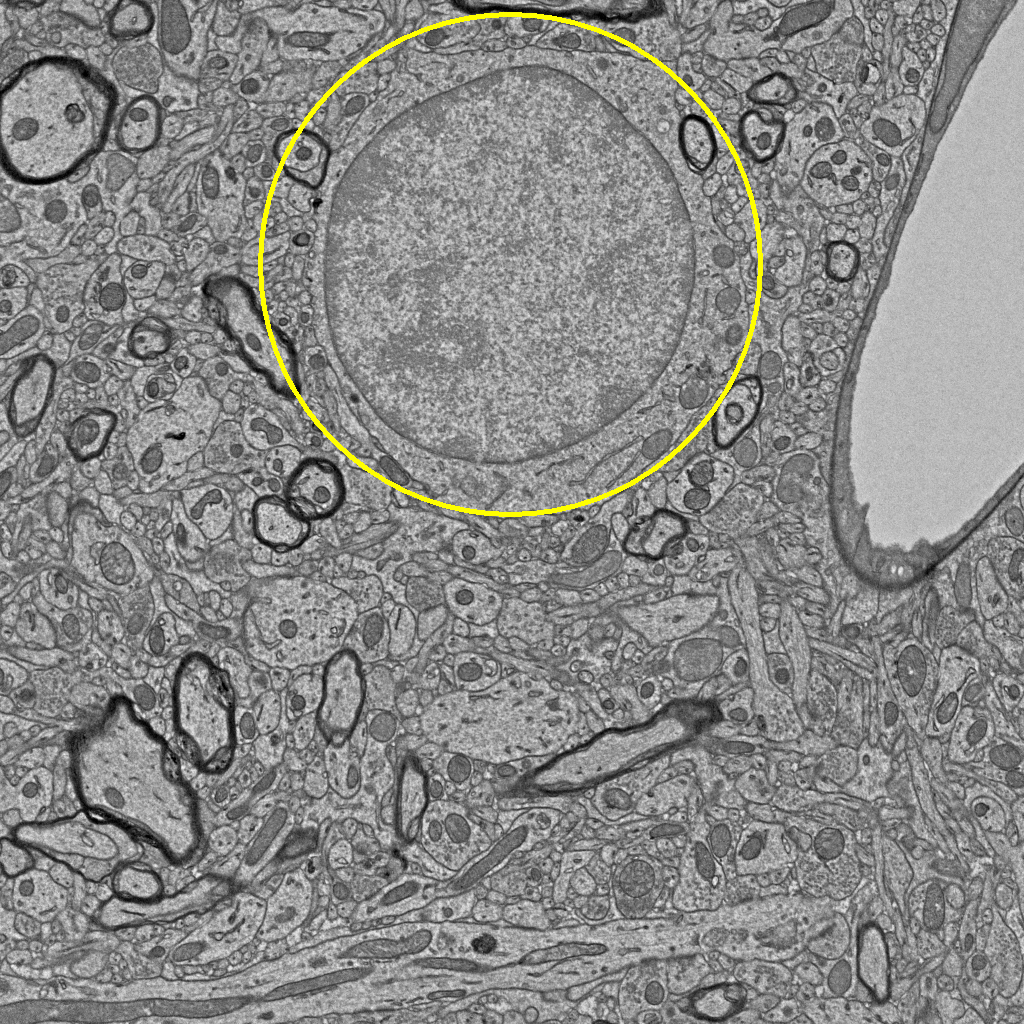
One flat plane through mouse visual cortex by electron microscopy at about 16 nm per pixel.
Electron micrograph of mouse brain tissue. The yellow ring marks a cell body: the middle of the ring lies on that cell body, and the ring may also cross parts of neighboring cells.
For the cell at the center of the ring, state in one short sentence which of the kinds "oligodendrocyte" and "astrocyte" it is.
This ring's center lies on an oligodendrocyte.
